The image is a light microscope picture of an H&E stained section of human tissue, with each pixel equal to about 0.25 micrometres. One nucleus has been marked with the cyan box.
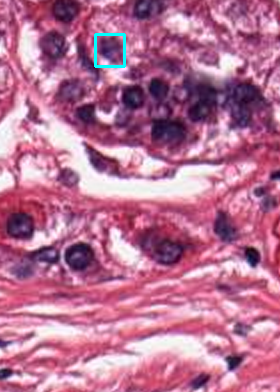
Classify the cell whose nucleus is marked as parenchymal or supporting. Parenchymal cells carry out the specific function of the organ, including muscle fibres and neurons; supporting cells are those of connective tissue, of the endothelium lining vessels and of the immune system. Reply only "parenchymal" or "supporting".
parenchymal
